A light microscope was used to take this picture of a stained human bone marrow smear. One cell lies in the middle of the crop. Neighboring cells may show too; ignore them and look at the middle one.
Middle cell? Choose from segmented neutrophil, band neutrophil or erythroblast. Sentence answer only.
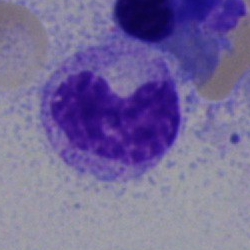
The centrally placed cell is classified as a band neutrophil.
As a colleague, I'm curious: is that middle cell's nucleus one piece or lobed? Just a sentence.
Round, oval or kidney-shaped, the nucleus is one compact mass.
